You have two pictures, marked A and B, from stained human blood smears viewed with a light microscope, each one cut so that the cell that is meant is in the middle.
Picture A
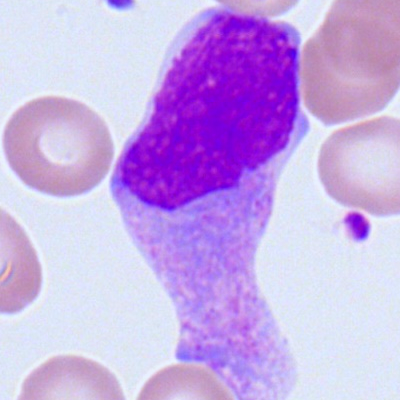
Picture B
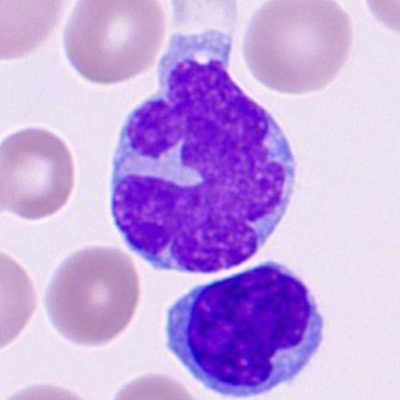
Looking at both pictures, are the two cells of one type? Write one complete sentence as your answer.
Yes, the two pictures both show monocytes.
